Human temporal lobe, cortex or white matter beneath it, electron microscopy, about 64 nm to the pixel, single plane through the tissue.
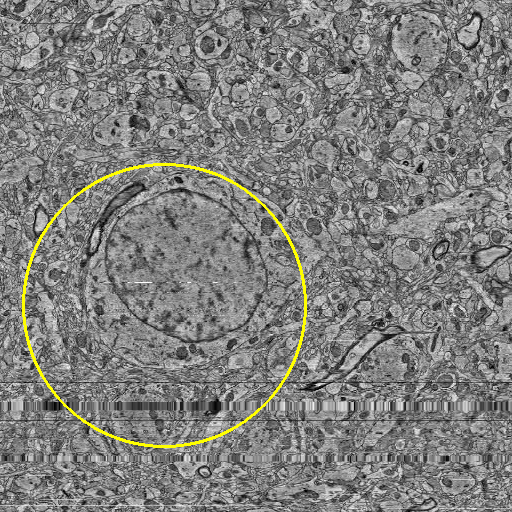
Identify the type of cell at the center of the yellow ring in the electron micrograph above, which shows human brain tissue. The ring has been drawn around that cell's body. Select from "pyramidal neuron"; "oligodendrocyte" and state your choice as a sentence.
The yellow ring is centered on the body of a pyramidal neuron.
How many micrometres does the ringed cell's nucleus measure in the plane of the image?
About 10 micrometres across in this plane.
